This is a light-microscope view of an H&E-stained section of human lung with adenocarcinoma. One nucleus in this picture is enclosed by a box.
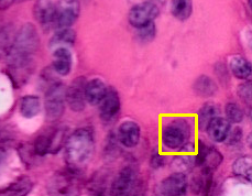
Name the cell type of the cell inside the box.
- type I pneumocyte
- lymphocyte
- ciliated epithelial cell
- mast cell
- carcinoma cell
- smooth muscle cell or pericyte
ciliated epithelial cell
